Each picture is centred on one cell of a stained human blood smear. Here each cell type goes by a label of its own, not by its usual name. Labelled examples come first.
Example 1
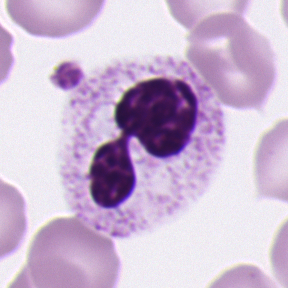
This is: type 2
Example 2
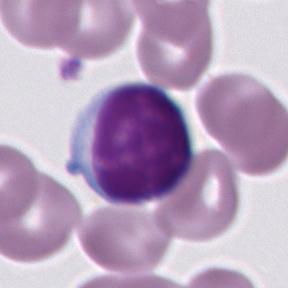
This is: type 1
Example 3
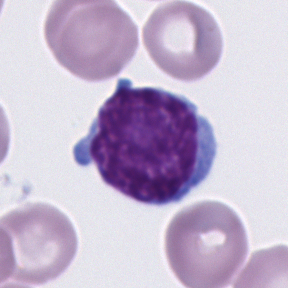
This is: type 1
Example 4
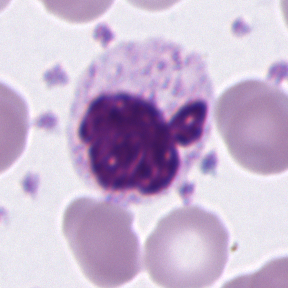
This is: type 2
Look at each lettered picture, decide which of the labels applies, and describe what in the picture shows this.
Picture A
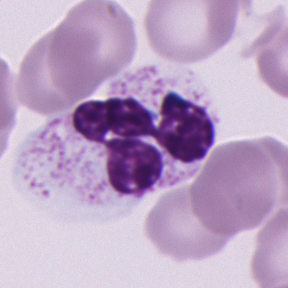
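Label: type 2. The cytoplasm is plentiful and very pale.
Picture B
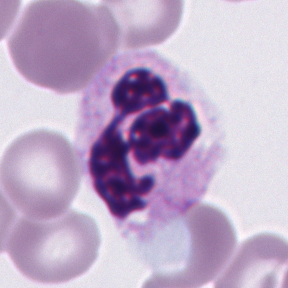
Label: type 2. The cytoplasm is abundant and pale pinkish-lilac.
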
